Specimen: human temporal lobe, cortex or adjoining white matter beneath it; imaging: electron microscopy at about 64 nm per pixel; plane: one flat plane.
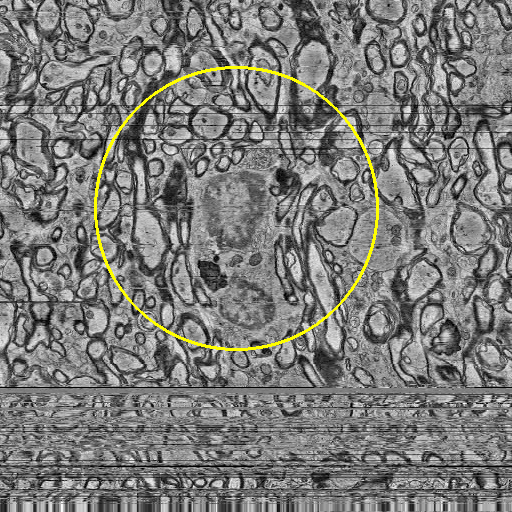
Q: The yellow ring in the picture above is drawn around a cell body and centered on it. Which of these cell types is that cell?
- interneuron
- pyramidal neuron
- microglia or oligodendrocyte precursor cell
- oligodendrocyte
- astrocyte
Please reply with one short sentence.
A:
The cell body at the ring's center belongs to an oligodendrocyte.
